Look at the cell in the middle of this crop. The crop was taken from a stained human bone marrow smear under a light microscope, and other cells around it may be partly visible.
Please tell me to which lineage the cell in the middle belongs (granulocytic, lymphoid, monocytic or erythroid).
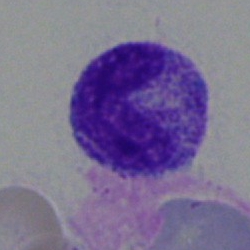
granulocytic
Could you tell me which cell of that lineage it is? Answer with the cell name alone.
band neutrophil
